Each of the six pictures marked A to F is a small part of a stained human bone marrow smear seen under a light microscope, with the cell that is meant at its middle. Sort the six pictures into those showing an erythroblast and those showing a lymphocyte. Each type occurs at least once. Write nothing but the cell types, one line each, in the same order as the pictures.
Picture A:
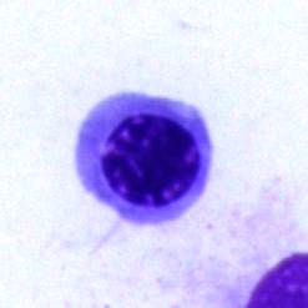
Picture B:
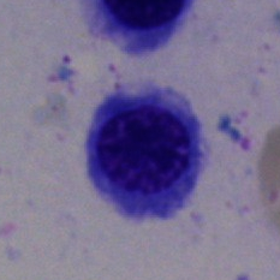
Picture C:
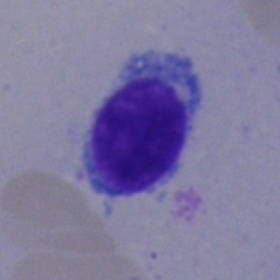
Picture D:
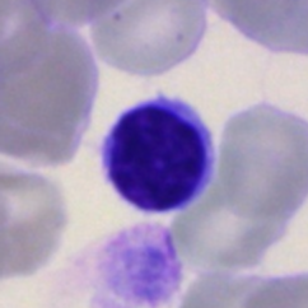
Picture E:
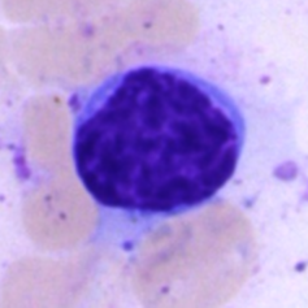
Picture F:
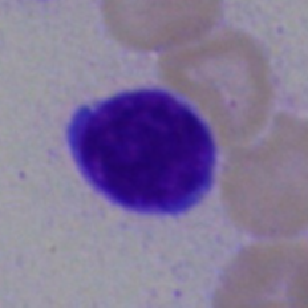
erythroblast
erythroblast
lymphocyte
lymphocyte
lymphocyte
lymphocyte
